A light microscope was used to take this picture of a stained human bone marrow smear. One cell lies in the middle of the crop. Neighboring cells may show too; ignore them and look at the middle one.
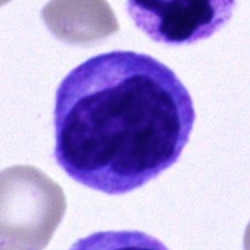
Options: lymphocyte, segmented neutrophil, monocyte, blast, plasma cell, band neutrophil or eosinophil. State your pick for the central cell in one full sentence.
This particular crop is centered on a monocyte.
